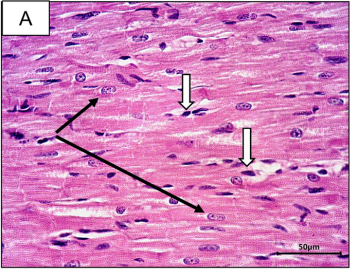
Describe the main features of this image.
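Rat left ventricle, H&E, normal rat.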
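This is heart muscle cut along its length: long pink cardiac muscle fibers run side by side in a regular parallel pattern. Each fiber carries oval, pale nuclei lying centrally, and a fine cross-striation can be made out in the pink cytoplasm. Between the fibers run narrow capillaries, seen as thin slits lined by small flattened dark nuclei.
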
